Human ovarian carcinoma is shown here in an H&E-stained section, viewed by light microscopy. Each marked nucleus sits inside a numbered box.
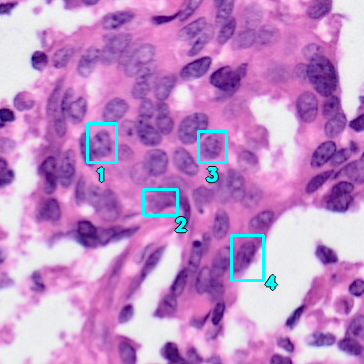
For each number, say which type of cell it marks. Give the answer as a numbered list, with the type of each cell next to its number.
1. macrophage or monocyte
2. carcinoma cell
3. carcinoma cell
4. carcinoma cell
